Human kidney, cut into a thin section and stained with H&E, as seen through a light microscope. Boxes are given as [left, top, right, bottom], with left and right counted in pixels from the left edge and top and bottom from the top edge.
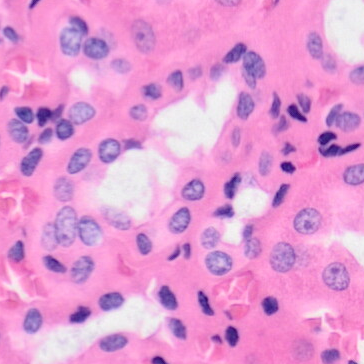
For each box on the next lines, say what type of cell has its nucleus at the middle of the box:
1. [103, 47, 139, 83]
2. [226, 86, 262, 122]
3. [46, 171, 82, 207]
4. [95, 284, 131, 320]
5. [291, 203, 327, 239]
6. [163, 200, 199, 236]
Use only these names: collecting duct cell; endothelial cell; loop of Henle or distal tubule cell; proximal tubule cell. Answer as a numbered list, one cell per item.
1. collecting duct cell
2. collecting duct cell
3. collecting duct cell
4. loop of Henle or distal tubule cell
5. proximal tubule cell
6. collecting duct cell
